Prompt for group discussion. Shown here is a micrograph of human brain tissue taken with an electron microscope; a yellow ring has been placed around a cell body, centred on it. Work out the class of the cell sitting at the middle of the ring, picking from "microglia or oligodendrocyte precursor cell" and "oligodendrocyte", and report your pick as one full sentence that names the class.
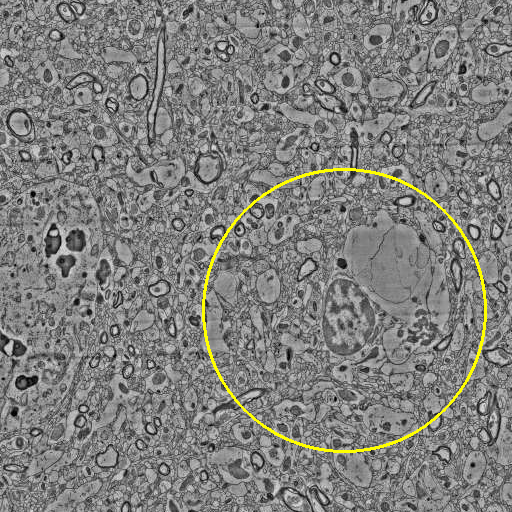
The cell sitting at the middle of the yellow ring is a microglial cell or oligodendrocyte precursor cell.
